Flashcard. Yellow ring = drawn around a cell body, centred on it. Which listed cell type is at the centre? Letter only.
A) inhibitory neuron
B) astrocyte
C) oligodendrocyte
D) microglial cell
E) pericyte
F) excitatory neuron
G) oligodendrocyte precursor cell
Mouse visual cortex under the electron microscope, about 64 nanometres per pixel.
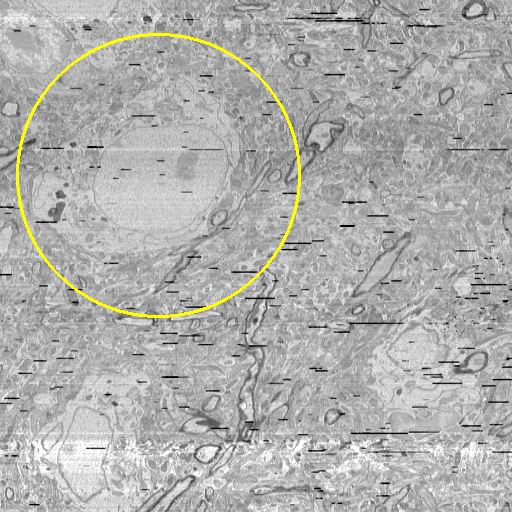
F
